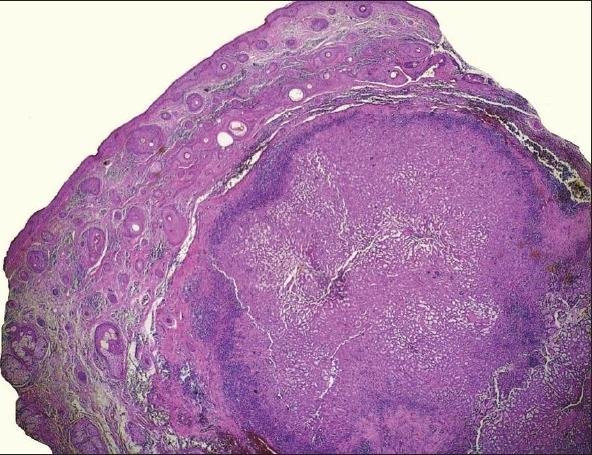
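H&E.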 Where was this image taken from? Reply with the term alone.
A: Dermis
